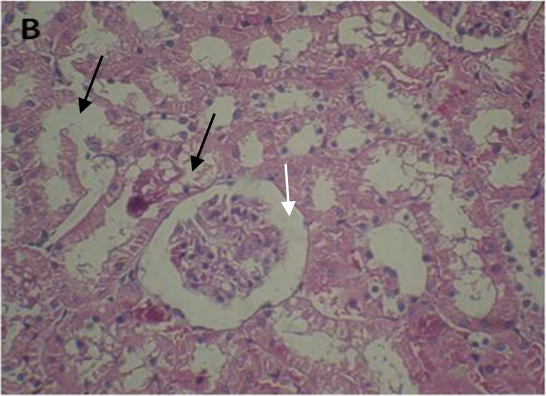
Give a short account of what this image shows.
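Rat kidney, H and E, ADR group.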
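This is renal cortex stained pink and purple, with a glomerulus and surrounding tubules. The glomerular tuft, a cluster of capillary loops with purple nuclei, lies within its capsule but is separated from it by a wide, clear crescent of empty space, far broader than normal. The surrounding tubules have wide lumens, and their lining epithelial cells look pale, vacuolated and ragged, with frayed apical borders and wisps of material trailing into the lumens. Nuclei in the tubular lining are scattered and some cells appear lost. Small dark red deposits lie between tubules. The overall picture is of degenerating tubular epithelium beside a dilated capsular space.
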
